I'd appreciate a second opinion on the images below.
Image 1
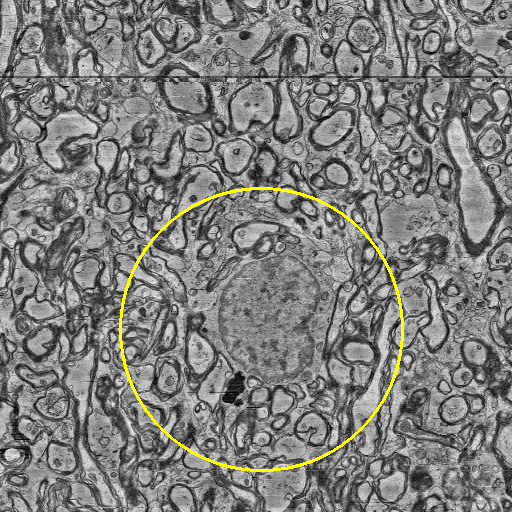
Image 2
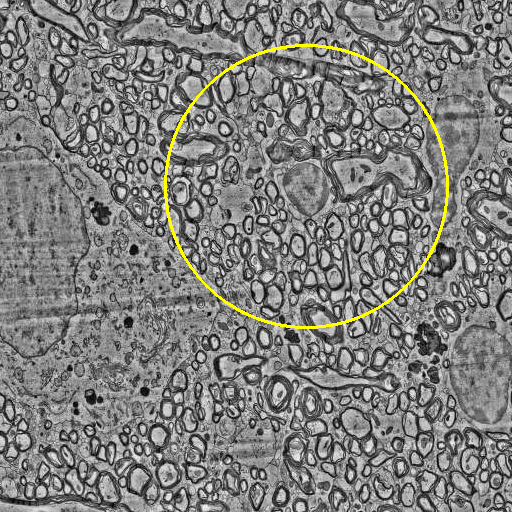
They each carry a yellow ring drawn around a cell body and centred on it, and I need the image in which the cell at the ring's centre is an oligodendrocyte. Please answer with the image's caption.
Image 1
